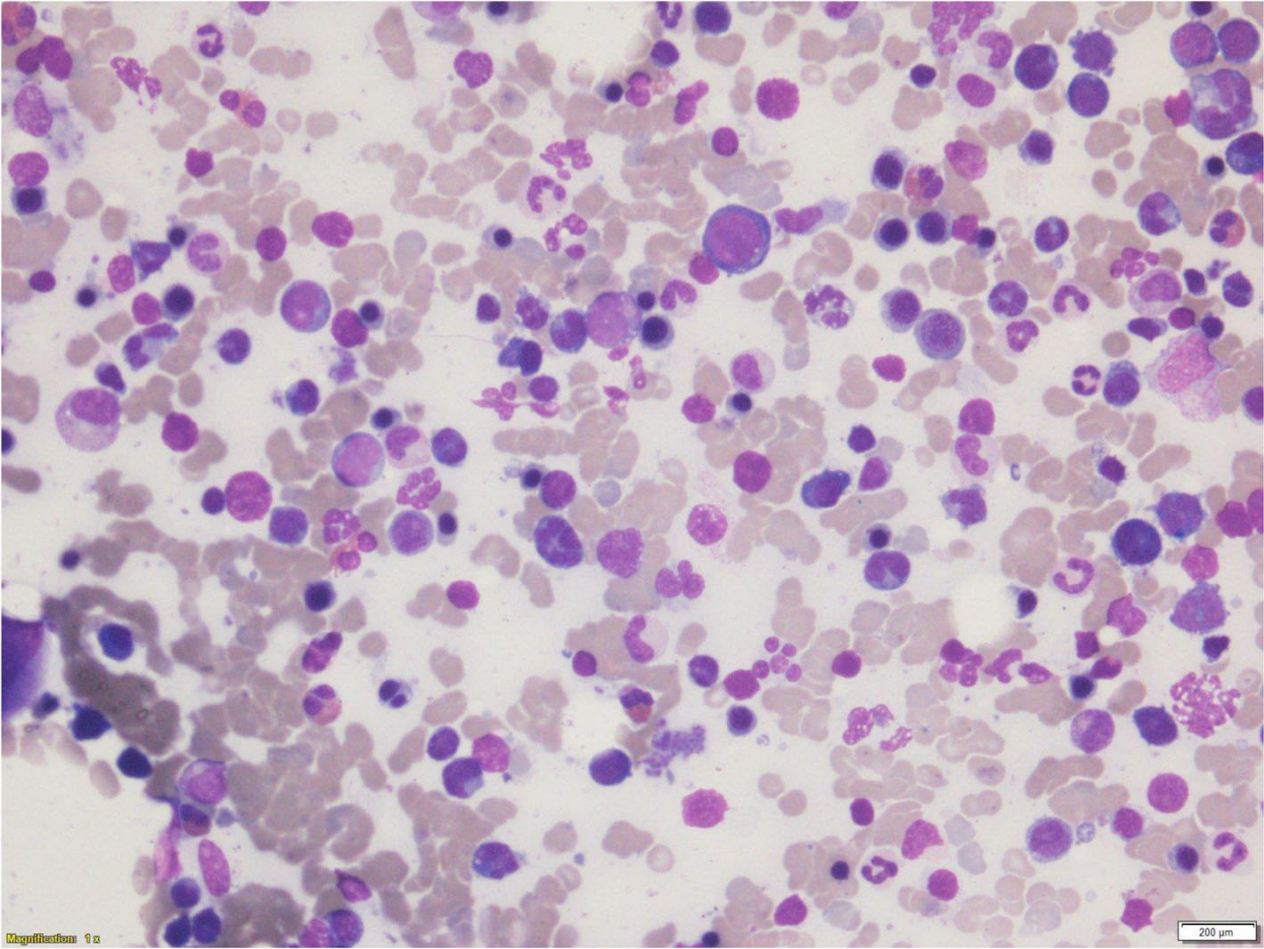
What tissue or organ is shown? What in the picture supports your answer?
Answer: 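Many nucleated cells lie densely among the red cells. Neutrophils with segmented and band-shaped nuclei are present. Small round cells with dense dark nuclei, like nucleated red cell precursors, are scattered throughout. Cells of varied size and maturity are mixed together. That points to this answer: bone marrow.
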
